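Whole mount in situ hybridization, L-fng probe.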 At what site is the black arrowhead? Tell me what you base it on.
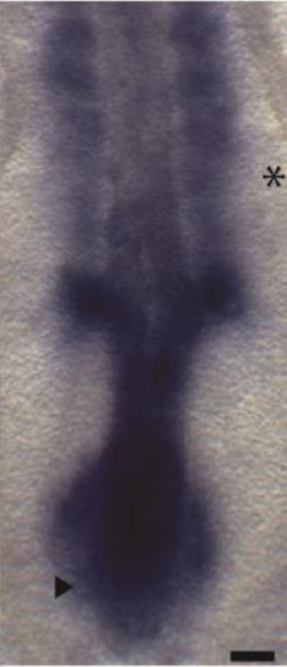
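The arrowhead points to the rounded, strongly stained posterior end of the axis at the bottom of the field.
Tail bud region.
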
